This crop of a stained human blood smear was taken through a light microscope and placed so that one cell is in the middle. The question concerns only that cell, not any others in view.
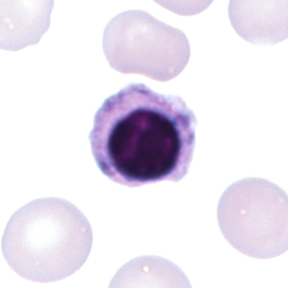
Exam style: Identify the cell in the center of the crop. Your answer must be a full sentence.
Classification of the middle cell gives a normoblast.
